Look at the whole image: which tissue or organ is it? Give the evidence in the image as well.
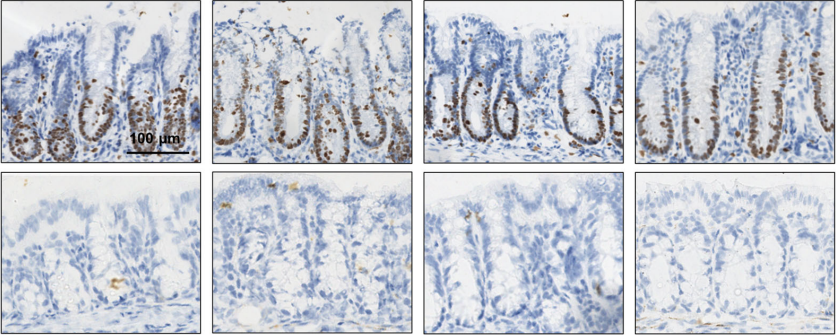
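Straight, parallel tubular glands lie side by side, cut along their length. Each gland is lined by a single layer of columnar epithelium. The epithelium contains many pale, rounded goblet-like cells.
Answer: colon crypts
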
